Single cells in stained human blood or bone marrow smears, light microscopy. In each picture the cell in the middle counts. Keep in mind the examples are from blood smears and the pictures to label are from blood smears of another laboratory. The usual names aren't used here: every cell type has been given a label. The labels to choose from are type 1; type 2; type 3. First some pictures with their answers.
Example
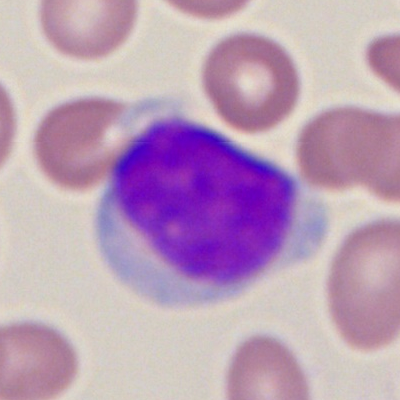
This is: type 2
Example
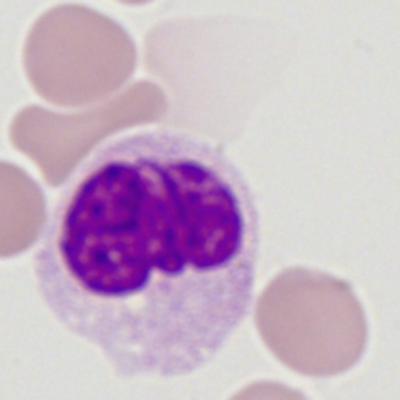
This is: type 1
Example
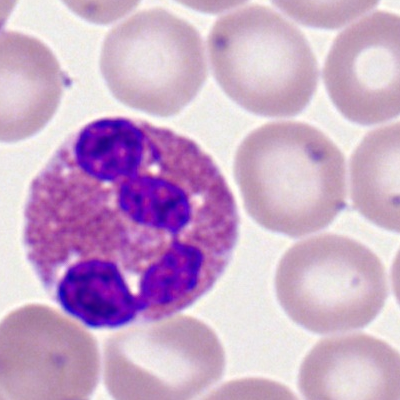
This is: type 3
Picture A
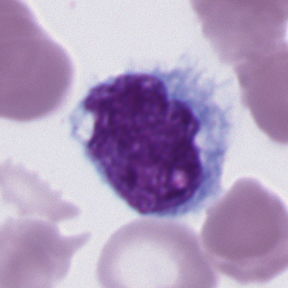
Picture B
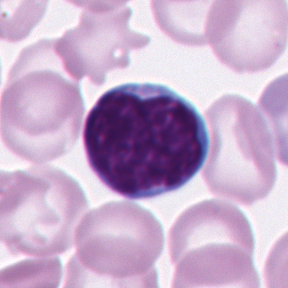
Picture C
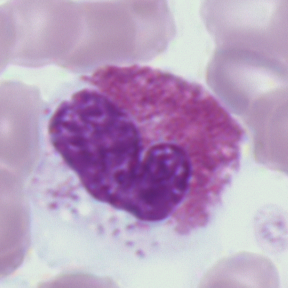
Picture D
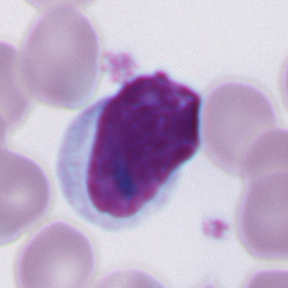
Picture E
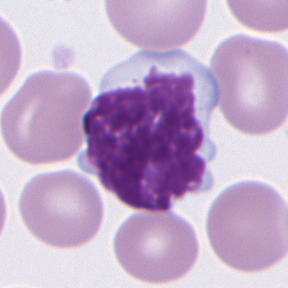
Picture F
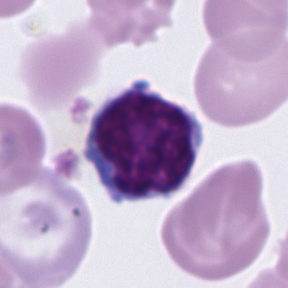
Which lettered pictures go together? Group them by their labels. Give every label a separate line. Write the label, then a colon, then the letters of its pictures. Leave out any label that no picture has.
type 1: A
type 2: B, D, E, F
type 3: C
